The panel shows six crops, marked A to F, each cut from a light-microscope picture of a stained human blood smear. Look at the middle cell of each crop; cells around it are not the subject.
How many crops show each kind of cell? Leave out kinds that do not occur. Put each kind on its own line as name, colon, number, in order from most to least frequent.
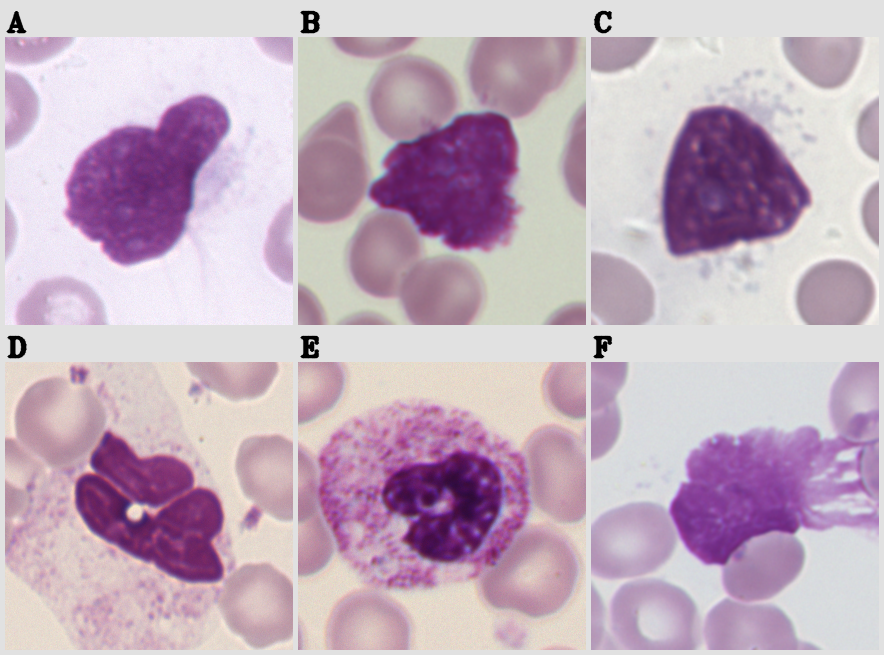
smudge cell: 4
segmented neutrophil: 2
